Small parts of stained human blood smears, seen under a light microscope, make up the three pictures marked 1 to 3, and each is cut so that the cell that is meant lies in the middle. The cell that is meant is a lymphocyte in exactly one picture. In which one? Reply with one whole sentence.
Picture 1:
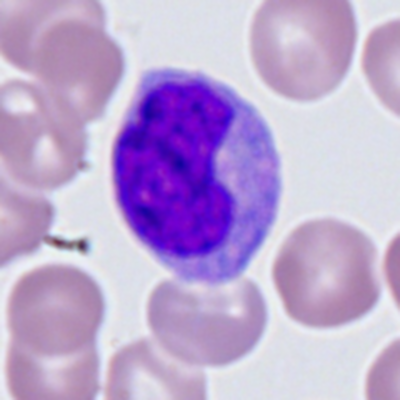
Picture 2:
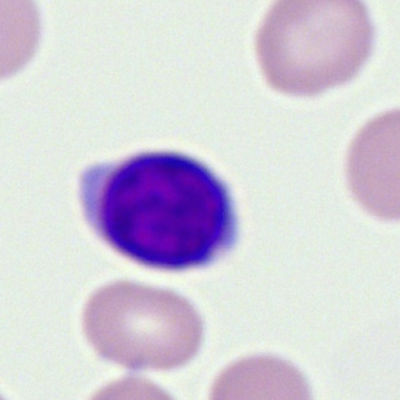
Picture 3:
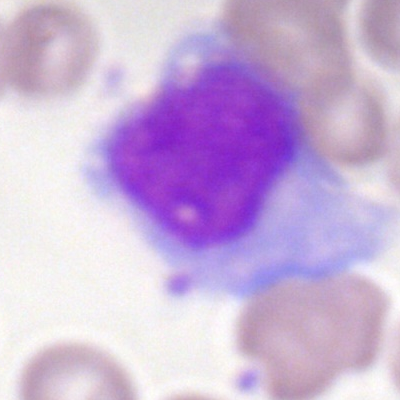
Picture 2 shows the lymphocyte.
